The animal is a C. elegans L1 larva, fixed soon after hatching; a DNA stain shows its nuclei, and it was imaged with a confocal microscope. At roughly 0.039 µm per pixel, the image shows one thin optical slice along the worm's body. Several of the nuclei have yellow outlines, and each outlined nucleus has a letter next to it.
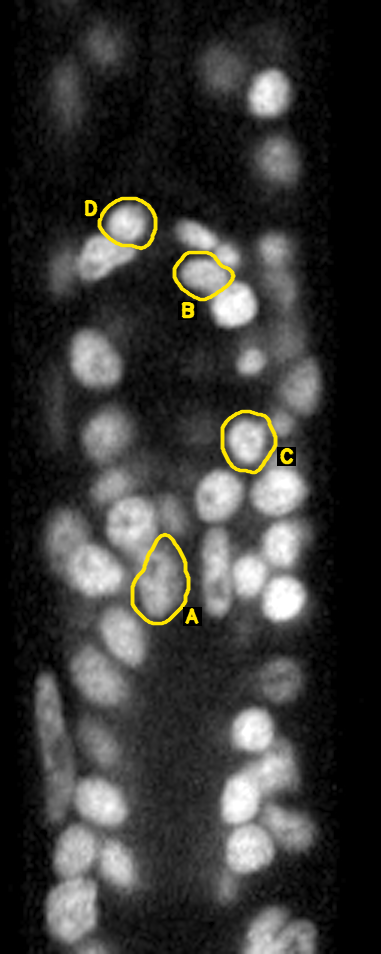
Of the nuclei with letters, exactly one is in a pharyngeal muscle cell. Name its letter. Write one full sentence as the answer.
B is the nucleus of a pharyngeal muscle cell.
